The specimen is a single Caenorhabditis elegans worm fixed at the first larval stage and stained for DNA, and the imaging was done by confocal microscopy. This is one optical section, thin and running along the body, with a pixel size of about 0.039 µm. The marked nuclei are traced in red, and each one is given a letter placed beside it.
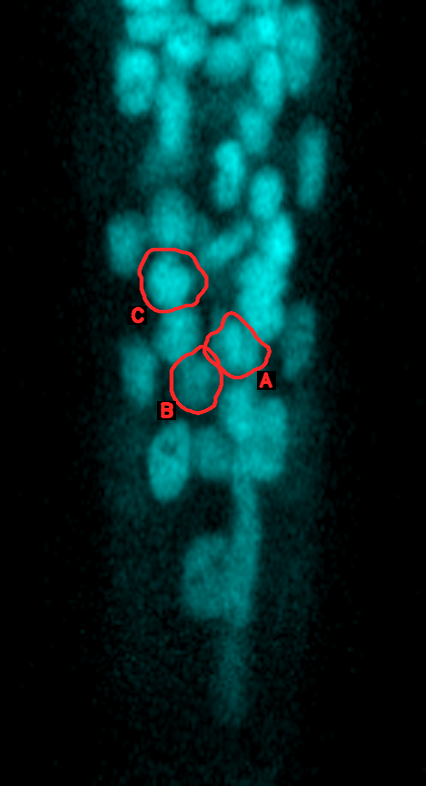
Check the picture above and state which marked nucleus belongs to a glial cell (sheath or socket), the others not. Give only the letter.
A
